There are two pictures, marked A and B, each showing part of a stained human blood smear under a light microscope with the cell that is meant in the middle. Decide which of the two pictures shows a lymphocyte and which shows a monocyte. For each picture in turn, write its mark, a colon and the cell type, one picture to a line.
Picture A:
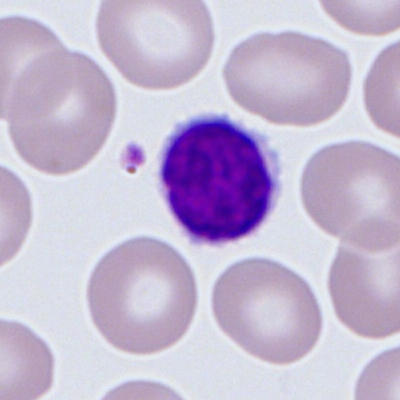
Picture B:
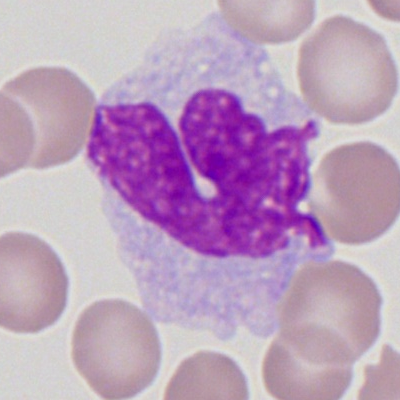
A: lymphocyte
B: monocyte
